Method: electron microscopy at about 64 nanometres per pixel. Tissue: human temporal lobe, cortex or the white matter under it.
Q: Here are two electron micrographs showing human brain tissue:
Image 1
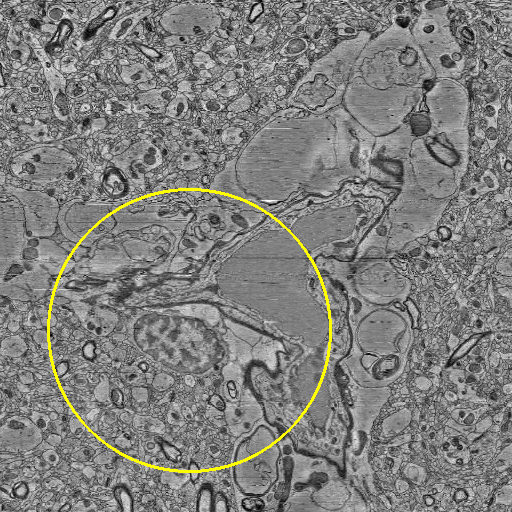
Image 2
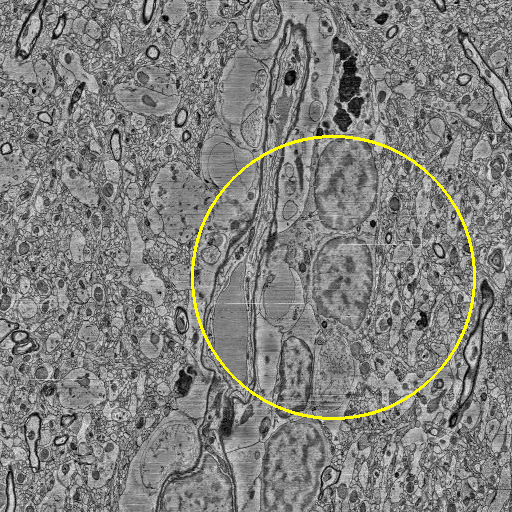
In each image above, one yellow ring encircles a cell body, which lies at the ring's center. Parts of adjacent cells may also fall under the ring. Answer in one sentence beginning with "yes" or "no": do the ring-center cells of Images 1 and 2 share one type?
Yes, in Images 1 and 2, the ring-center cells are both of one type.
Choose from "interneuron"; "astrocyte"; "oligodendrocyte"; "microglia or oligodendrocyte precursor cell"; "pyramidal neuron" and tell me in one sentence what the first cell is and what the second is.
Both rings mark an oligodendrocyte, one in each picture.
